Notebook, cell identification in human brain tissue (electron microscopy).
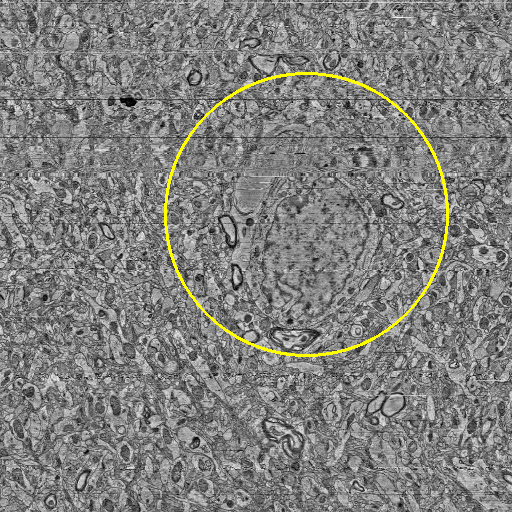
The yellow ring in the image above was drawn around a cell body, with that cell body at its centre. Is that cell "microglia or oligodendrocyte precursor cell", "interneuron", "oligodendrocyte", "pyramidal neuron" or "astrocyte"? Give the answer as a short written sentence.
The cell in the ring is an interneuron.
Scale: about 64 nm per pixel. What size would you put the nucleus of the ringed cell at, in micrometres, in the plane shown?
In this plane the nucleus measures roughly 8 by 6 micrometers.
